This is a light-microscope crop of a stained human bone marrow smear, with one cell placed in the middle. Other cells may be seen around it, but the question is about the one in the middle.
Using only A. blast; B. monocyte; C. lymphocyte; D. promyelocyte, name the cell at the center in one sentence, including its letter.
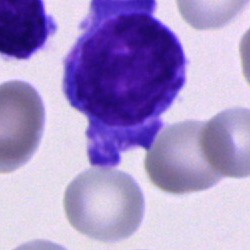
Option A is correct here, and the cell in the middle is a blast.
